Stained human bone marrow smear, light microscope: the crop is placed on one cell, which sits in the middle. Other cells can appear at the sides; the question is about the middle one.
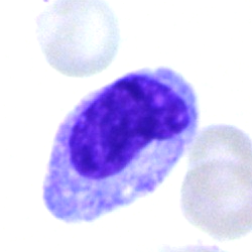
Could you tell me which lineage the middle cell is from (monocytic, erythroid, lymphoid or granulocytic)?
granulocytic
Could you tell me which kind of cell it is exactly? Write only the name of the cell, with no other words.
metamyelocyte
